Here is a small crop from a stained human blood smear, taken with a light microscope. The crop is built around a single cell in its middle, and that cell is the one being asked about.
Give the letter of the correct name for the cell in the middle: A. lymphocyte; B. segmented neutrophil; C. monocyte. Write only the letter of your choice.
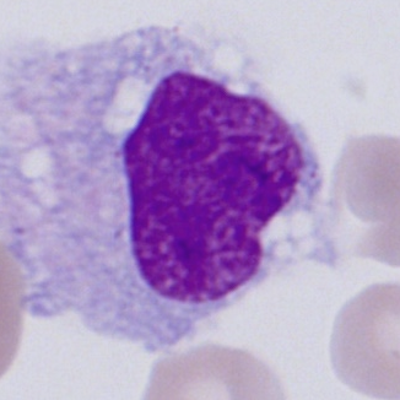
C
